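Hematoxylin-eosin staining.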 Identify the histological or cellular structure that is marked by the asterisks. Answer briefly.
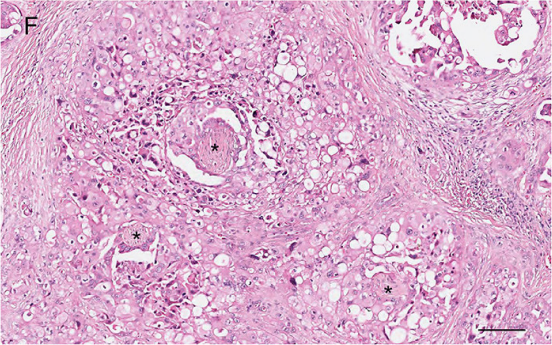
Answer: Nerves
